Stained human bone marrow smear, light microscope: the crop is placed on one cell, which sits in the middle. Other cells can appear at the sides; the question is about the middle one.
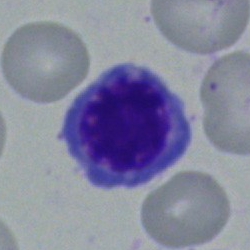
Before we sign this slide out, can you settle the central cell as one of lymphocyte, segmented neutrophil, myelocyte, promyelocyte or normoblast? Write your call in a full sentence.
The cell marked by its central position in the crop is a normoblast.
